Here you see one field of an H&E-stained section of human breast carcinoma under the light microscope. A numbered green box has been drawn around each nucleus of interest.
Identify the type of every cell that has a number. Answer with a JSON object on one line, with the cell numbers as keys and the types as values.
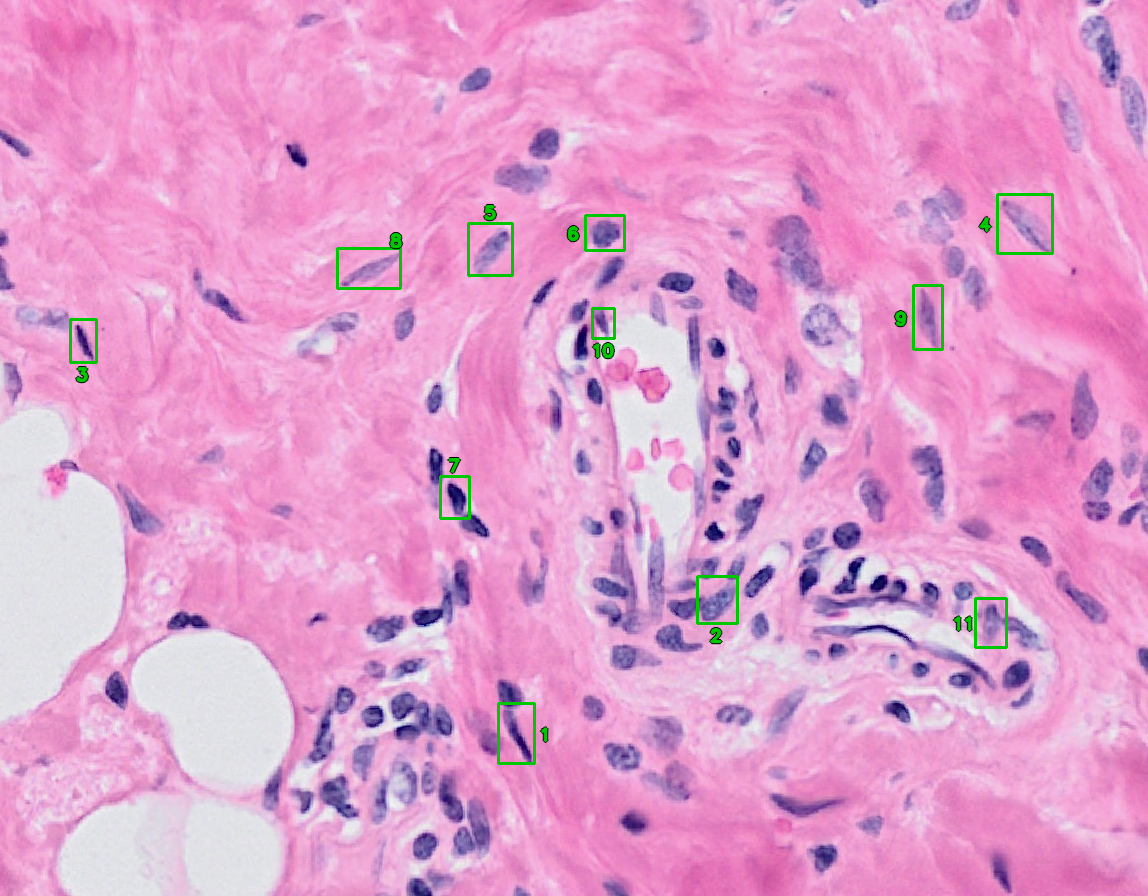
{"1": "fibroblast", "2": "endothelial cell", "3": "fibroblast", "4": "fibroblast", "5": "fibroblast", "6": "lymphocyte", "7": "lymphocyte", "8": "fibroblast", "9": "fibroblast", "10": "endothelial cell", "11": "endothelial cell"}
